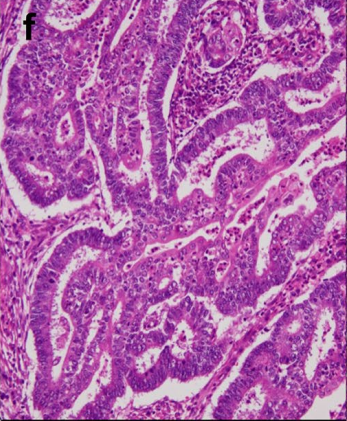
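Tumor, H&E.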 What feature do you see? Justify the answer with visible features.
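Irregularly branched and fused glands. Gland-like tubules lined by epithelium run in irregular branching shapes. Adjacent glands merge with little stroma between them.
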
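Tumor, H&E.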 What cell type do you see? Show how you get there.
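Tall epithelial cells line the gland lumens. Elongated nuclei stand perpendicular to the lumen.
Conclusion: columnar cells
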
